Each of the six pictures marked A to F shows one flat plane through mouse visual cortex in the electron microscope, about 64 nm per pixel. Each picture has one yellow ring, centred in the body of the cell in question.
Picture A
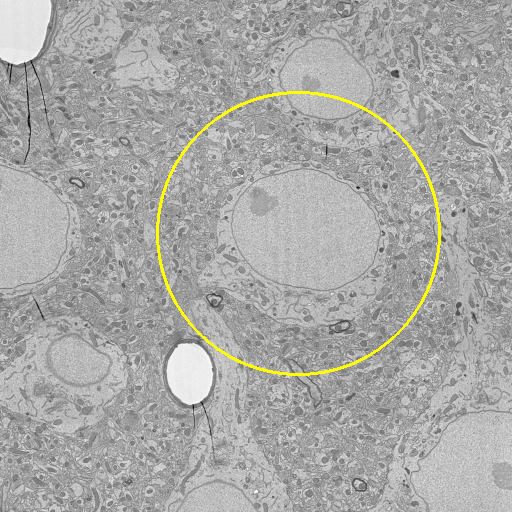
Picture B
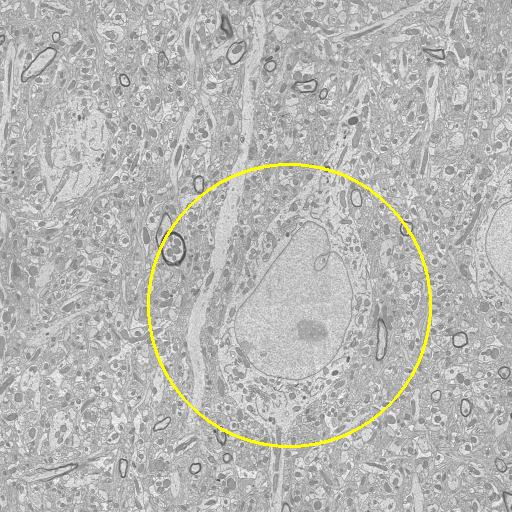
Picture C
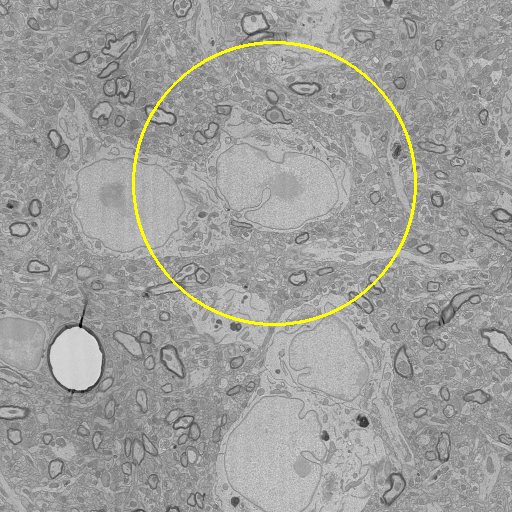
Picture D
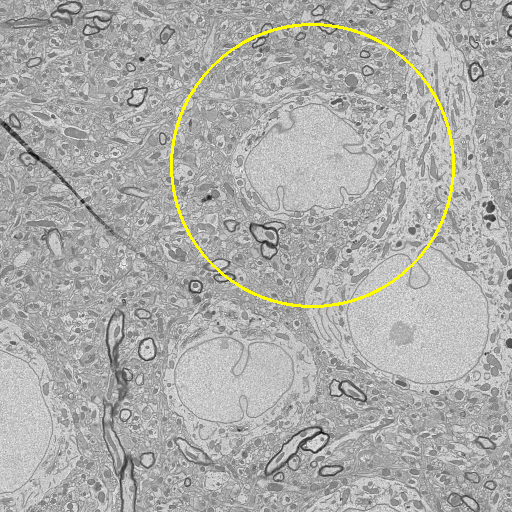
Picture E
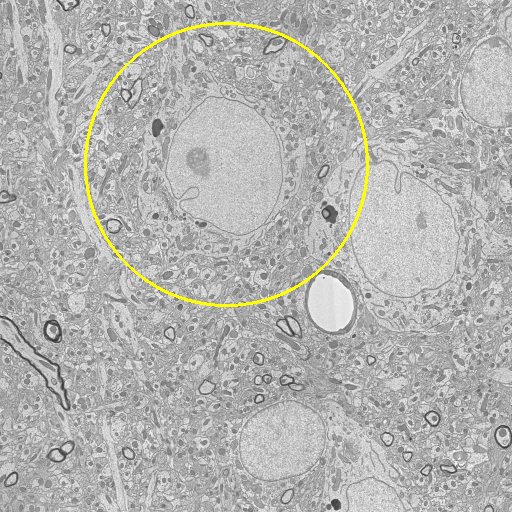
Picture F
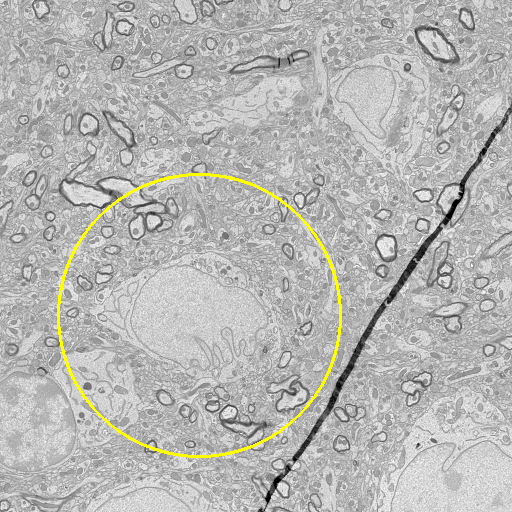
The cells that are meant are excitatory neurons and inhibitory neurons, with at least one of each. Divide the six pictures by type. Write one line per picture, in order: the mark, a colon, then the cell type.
A: excitatory neuron
B: inhibitory neuron
C: excitatory neuron
D: inhibitory neuron
E: excitatory neuron
F: inhibitory neuron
